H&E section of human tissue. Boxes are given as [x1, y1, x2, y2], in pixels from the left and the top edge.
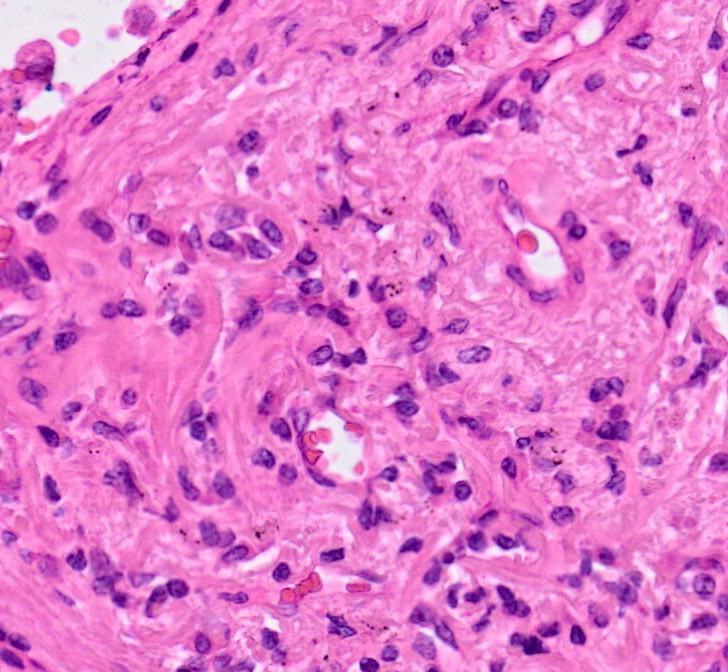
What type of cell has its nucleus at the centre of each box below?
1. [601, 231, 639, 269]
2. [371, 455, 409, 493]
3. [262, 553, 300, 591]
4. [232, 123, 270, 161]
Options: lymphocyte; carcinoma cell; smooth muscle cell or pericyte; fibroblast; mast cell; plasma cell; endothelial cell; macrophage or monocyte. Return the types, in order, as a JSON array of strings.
["plasma cell", "lymphocyte", "lymphocyte", "plasma cell"]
